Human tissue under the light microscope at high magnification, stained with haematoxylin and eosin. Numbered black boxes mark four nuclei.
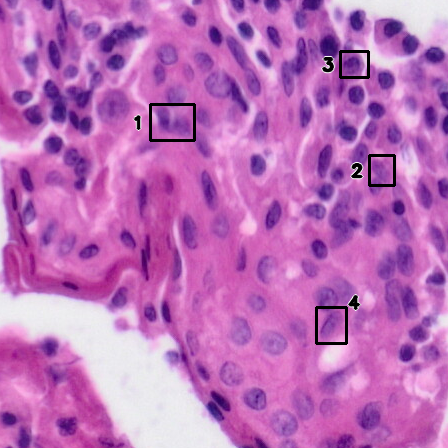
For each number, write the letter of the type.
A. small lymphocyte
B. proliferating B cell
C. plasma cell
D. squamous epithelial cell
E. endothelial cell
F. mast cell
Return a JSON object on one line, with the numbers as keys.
{"1": "D", "2": "D", "3": "C", "4": "D"}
